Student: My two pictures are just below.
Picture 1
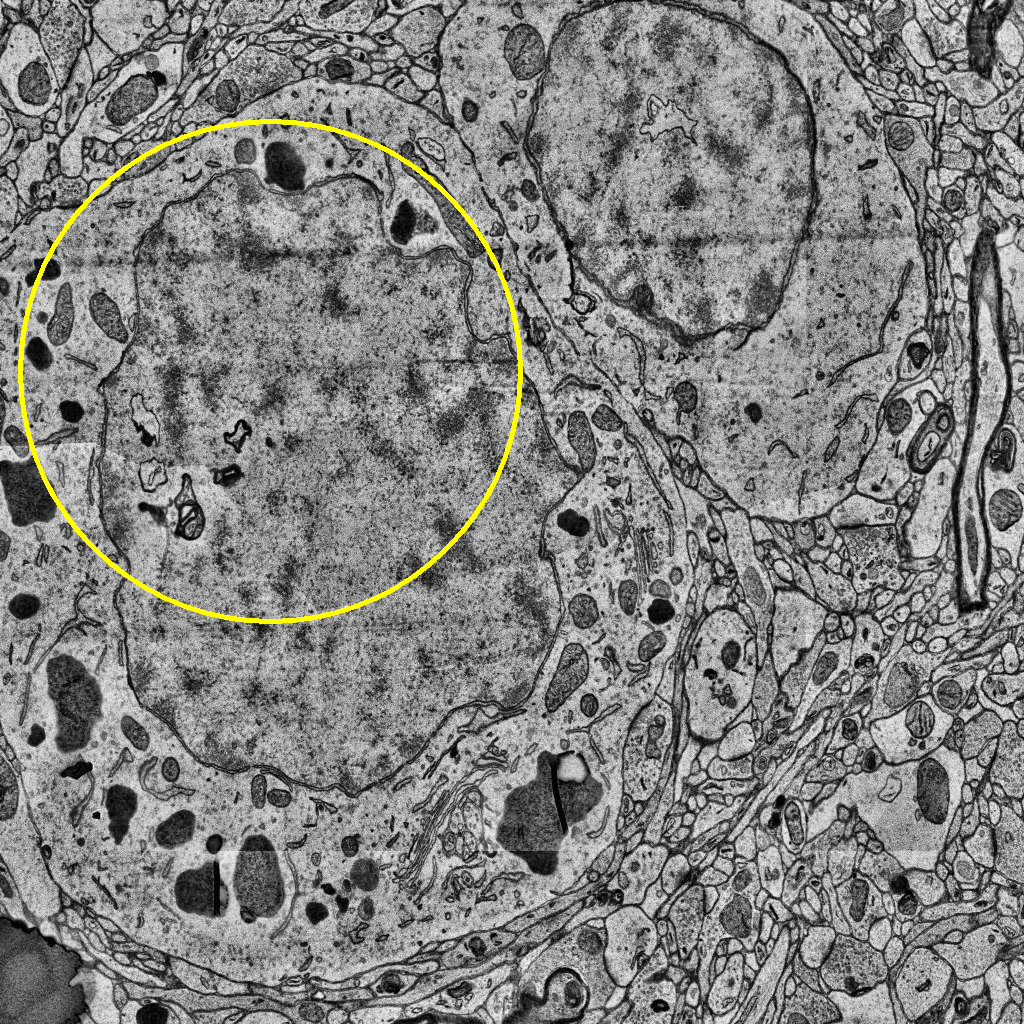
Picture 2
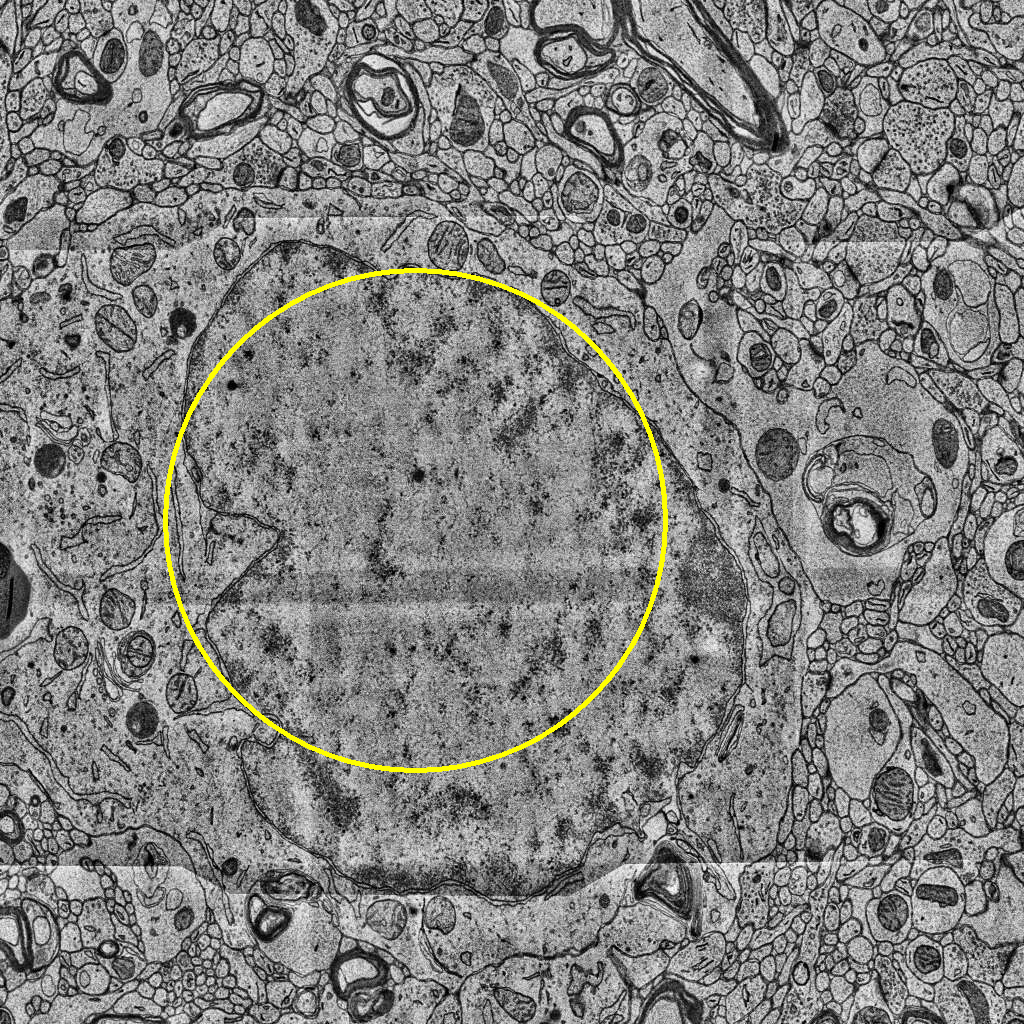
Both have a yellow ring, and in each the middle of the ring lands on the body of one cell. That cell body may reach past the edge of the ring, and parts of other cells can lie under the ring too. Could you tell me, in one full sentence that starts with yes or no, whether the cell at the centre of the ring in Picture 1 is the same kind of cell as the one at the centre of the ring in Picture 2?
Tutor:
Yes, the two cells are of the same kind.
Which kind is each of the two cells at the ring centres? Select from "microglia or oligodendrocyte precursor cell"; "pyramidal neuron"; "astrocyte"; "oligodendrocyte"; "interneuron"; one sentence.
Both rings mark an interneuron, one in each picture.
